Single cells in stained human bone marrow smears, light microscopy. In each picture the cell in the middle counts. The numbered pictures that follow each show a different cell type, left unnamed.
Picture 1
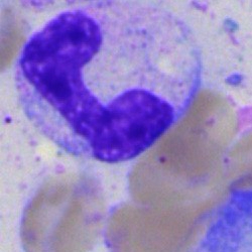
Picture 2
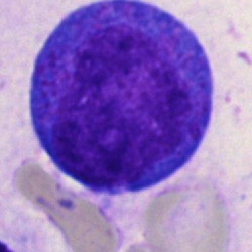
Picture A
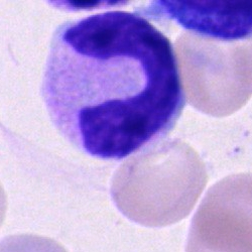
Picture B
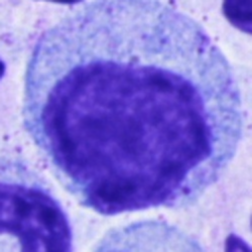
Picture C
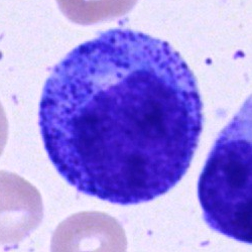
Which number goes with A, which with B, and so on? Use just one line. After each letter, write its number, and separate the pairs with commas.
A 1, B 2, C 2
